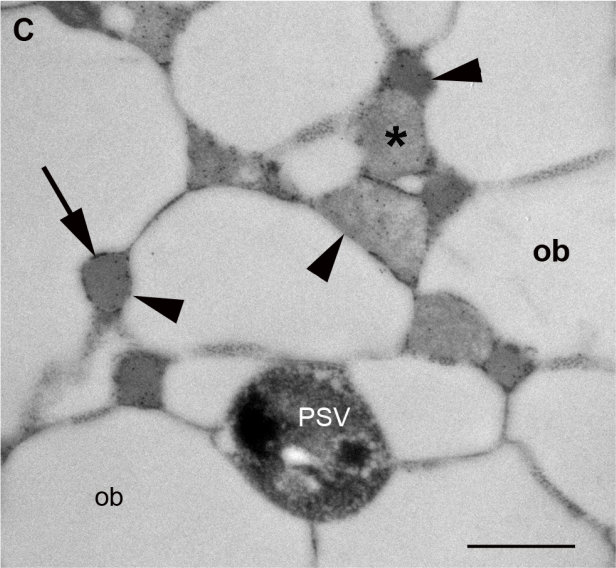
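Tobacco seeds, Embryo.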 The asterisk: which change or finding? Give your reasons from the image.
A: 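Non-uniform electron density. The body marked by the asterisk is grey with uneven, mottled density. Neighbouring small bodies look more evenly dark.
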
